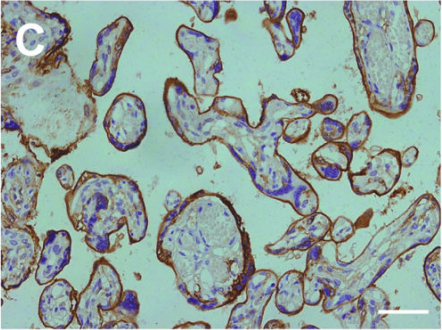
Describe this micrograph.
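This is placental villous tissue cut across, with many rounded and branching villi lying in open intervillous space. Each villus is covered by a thin syncytiotrophoblast layer whose outer, apical surface is traced by a crisp dark brown line. Blue nuclei sit in the covering layer and scattered through the loose pale stroma of the villus cores. Some larger villi show rounded vessel lumens in their cores. The brown colour is concentrated at the surface, with only faint tint in the stroma.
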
